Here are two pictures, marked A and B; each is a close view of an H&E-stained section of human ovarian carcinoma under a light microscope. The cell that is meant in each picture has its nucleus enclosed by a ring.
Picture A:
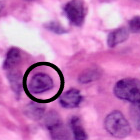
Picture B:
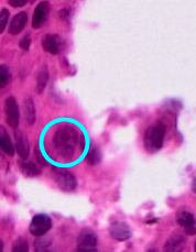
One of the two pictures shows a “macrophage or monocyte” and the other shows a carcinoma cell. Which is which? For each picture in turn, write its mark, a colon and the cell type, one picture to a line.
A: macrophage or monocyte
B: carcinoma cell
